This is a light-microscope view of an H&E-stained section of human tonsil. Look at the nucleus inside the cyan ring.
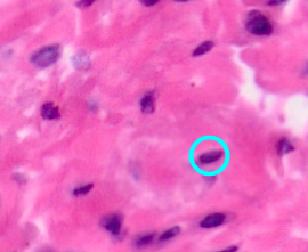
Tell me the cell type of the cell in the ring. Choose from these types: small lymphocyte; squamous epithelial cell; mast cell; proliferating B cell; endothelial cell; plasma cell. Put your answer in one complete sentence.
The classification of the cell in the ring is as a mast cell.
